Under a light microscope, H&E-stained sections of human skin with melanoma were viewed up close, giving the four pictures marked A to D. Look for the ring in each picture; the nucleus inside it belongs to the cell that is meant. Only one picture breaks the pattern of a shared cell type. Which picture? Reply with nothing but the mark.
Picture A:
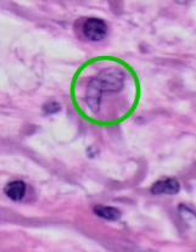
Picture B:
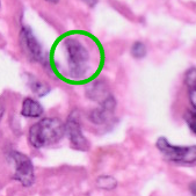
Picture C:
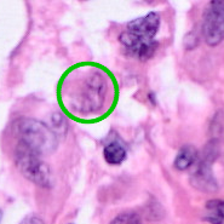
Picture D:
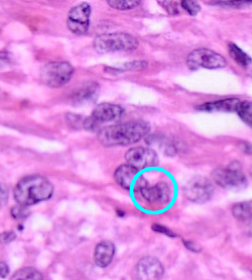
A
